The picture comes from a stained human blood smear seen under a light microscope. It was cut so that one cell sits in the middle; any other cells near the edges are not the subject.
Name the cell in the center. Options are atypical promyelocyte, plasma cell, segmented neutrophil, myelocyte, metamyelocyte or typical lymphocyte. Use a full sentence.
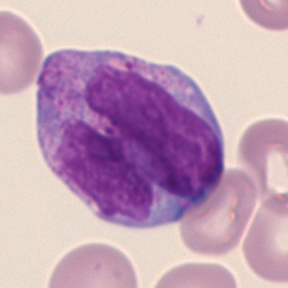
The cell centred in this crop is categorized as an atypical promyelocyte.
